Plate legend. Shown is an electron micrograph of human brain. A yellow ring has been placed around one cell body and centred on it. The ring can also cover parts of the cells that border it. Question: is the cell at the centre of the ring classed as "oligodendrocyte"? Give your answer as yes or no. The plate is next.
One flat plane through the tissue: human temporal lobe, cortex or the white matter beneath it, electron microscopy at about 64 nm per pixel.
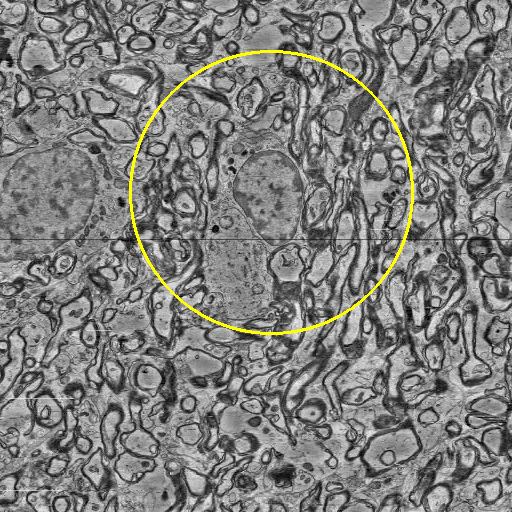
No, the ringed cell is of another kind.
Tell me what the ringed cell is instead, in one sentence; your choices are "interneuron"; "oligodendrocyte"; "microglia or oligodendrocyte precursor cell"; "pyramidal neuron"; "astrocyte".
Instead, the ring in this picture marks a microglial cell or oligodendrocyte precursor cell.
